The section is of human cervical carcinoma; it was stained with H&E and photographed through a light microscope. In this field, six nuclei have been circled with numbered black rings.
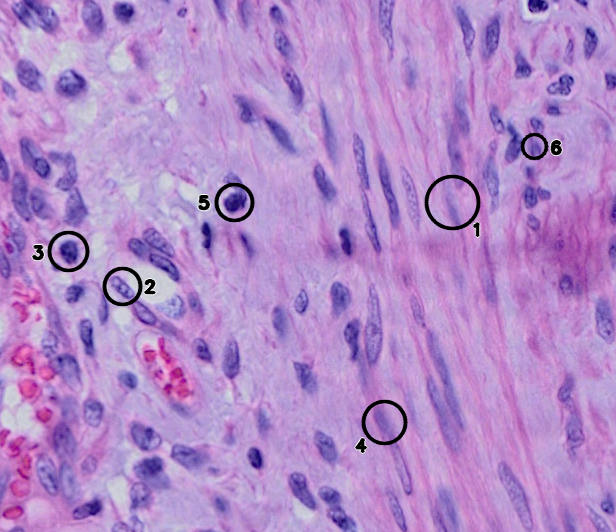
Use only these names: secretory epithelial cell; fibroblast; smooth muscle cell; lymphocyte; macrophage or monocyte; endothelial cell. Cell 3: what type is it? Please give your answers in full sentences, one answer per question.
Number 3 among the marked cells is a lymphocyte.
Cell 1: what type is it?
Denoted by the label 1 in the section is a smooth muscle cell.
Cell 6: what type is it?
Marked with the number 6, this cell is a smooth muscle cell.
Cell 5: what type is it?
The cell that goes by number 5 is a lymphocyte.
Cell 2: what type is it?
Among the marked cells, number 2 is an endothelial cell.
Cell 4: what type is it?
The cell indicated by marker 4 is a smooth muscle cell in this section.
